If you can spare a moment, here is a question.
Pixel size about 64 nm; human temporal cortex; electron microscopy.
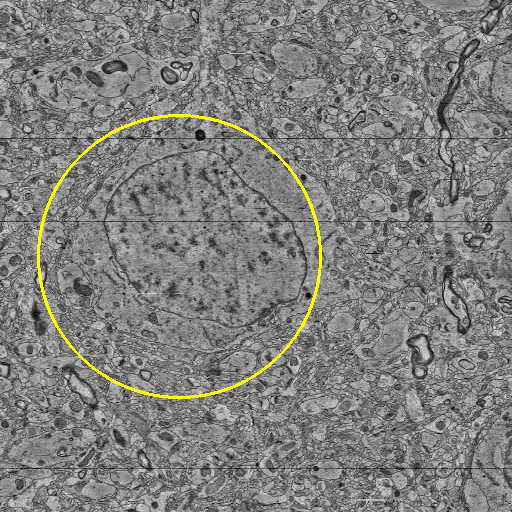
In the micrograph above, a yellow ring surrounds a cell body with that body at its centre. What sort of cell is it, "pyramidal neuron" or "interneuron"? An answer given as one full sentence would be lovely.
Centred inside the yellow ring, the cell body shown belongs to a pyramidal neuron in this micrograph.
